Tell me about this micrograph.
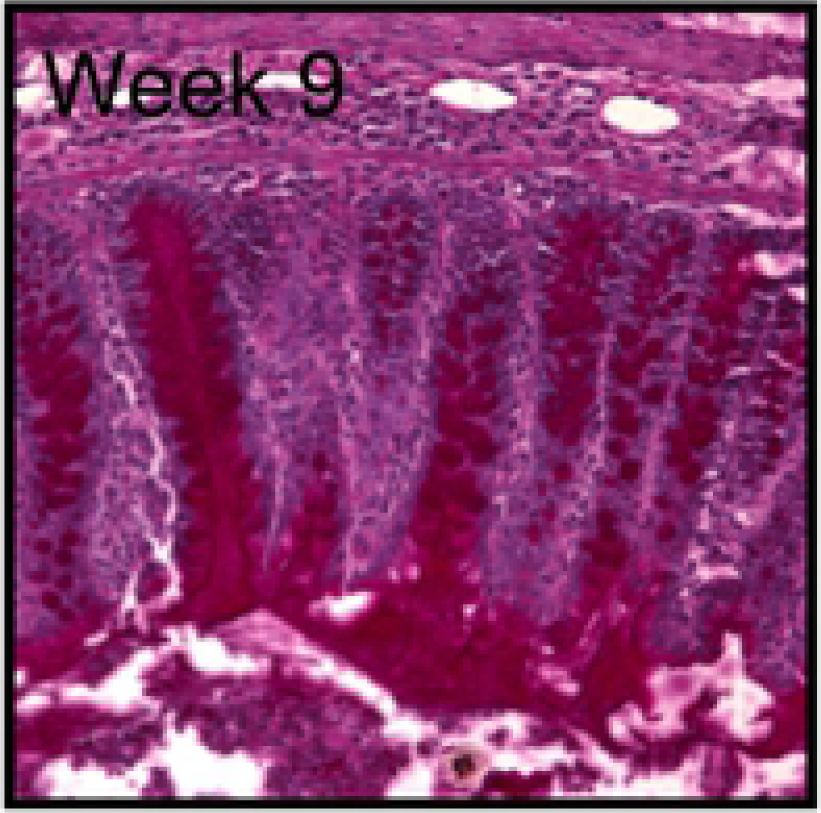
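The crypt epithelium is crowded with goblet cells whose rounded mucin-filled cytoplasm stains intense magenta, stacked in columns along each crypt, while the intervening cells and lamina propria stain pale purple-blue. Magenta mucus also fills the crypt openings and the lumen edge.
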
